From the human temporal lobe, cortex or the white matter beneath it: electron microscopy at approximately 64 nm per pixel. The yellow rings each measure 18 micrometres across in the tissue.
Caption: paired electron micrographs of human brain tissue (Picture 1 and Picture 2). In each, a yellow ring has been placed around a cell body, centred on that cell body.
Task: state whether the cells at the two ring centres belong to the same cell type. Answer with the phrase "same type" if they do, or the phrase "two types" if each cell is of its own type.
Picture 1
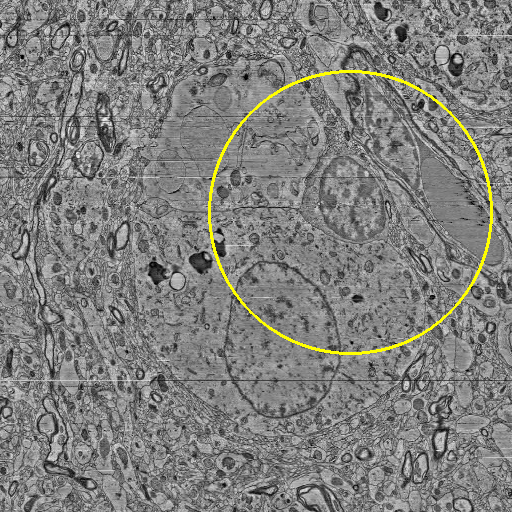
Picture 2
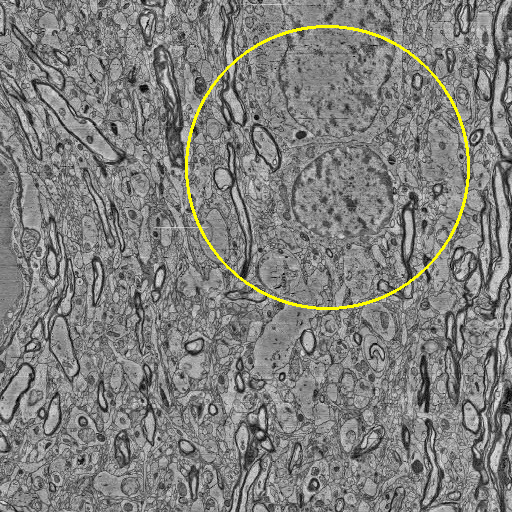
same type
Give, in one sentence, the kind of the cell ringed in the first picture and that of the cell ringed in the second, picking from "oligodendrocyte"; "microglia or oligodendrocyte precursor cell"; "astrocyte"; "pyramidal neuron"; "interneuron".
Both cells are the same kind, each one being an oligodendrocyte.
